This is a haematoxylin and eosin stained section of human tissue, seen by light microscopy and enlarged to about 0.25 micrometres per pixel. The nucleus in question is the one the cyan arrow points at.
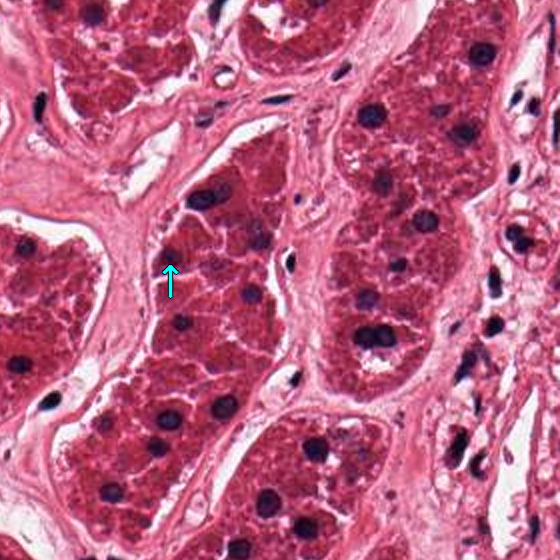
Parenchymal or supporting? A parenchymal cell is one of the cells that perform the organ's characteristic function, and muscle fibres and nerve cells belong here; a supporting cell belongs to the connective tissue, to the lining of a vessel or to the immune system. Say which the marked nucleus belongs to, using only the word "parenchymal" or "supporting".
parenchymal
